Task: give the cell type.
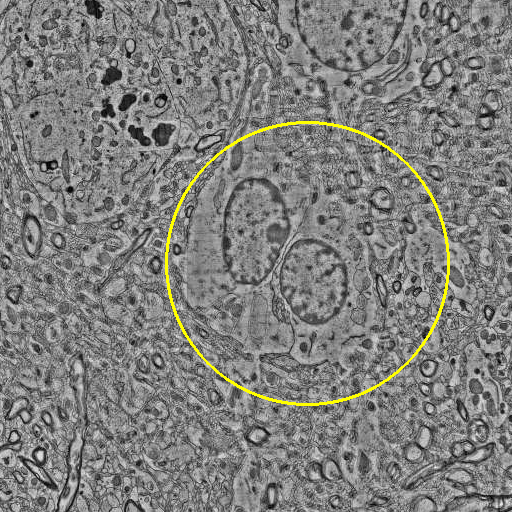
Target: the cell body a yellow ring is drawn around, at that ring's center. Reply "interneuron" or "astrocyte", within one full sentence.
In this picture, the cell whose body lies at the ring's center is an astrocyte.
